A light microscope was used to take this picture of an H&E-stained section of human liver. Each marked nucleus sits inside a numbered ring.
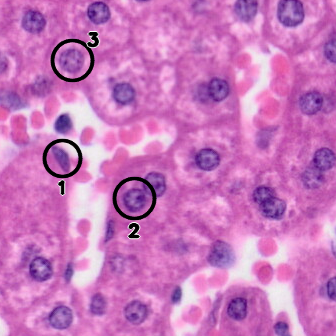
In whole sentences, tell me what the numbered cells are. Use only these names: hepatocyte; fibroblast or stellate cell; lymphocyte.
Cell 1 is a fibroblast or stellate cell. Cells 2 and 3 are hepatocytes.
